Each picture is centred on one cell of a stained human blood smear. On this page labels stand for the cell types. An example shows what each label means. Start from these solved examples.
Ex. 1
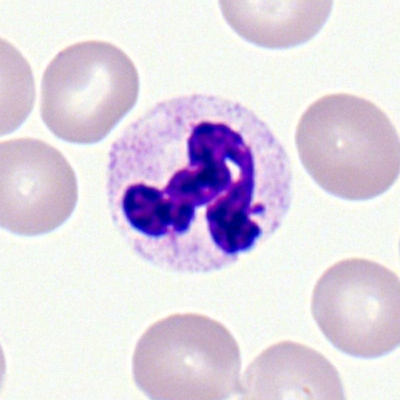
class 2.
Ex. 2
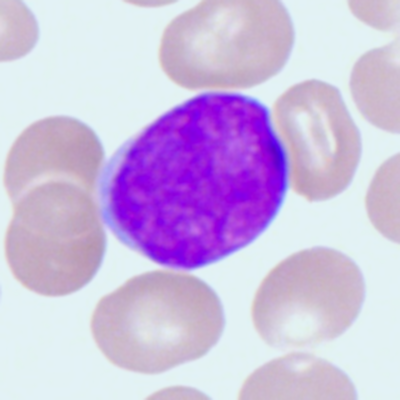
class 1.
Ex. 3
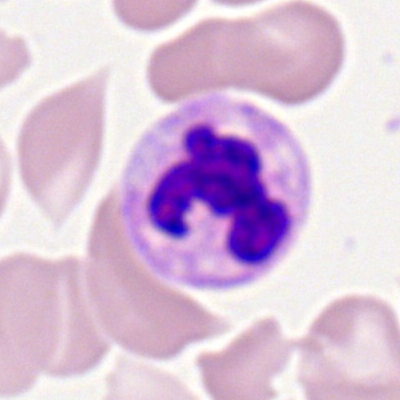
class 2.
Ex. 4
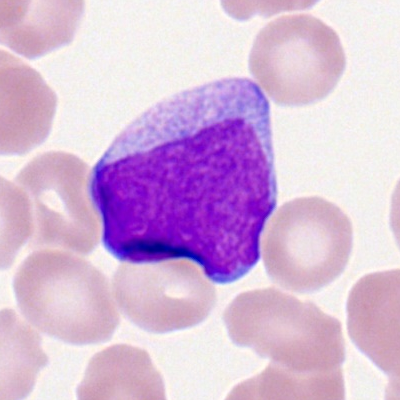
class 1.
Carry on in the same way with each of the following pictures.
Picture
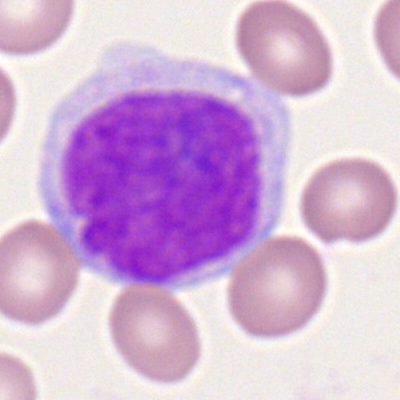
class 1.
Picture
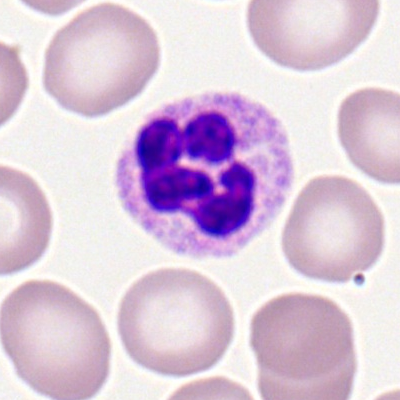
class 2.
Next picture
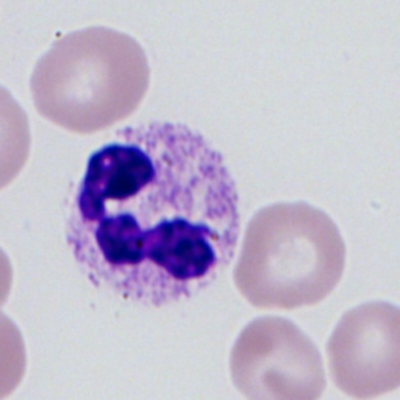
class 2.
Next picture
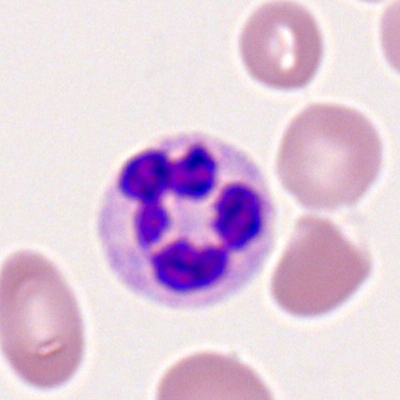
class 2.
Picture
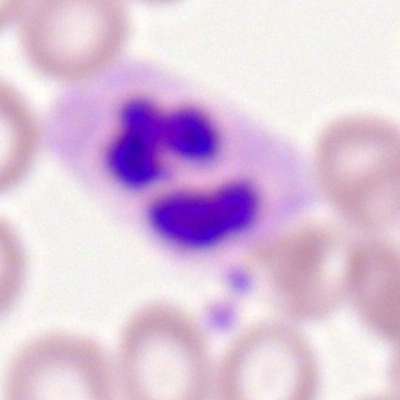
class 2.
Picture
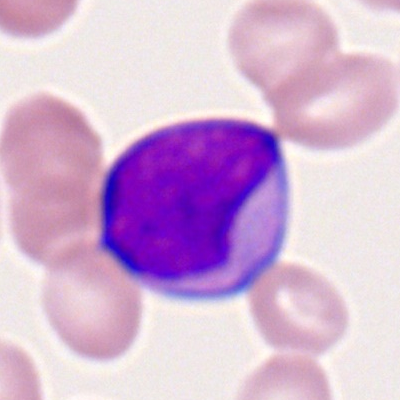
class 1.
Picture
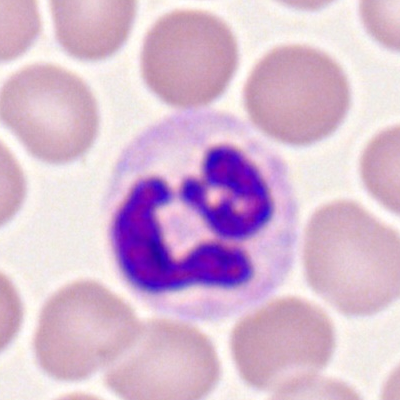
class 2.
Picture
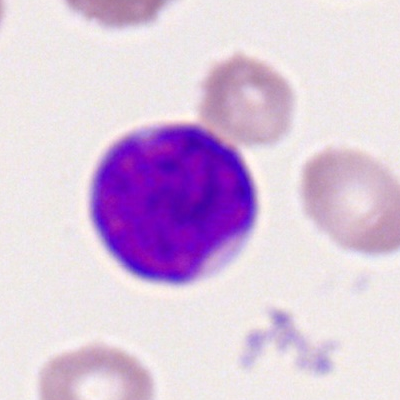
class 1.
